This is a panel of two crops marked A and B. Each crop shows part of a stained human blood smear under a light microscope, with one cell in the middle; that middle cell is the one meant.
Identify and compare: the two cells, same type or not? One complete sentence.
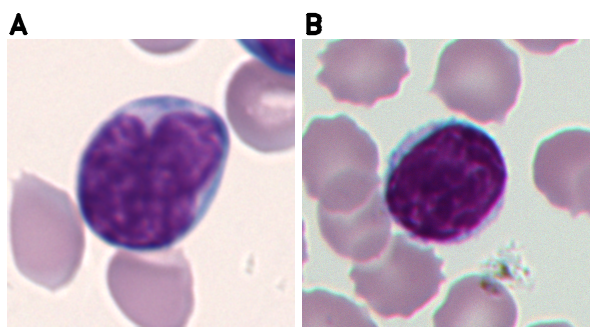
No, a blast is centred in crop A, and a lymphocyte is centred in crop B.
